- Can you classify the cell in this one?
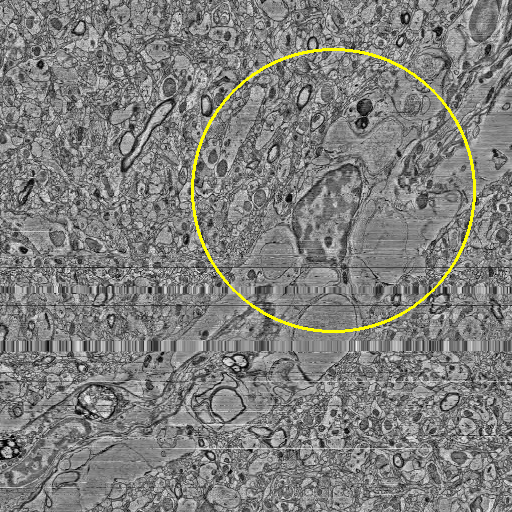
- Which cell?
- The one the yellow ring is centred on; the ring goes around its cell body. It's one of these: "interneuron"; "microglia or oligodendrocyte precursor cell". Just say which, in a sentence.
The cell body in the ring belongs to a microglial cell or oligodendrocyte precursor cell.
